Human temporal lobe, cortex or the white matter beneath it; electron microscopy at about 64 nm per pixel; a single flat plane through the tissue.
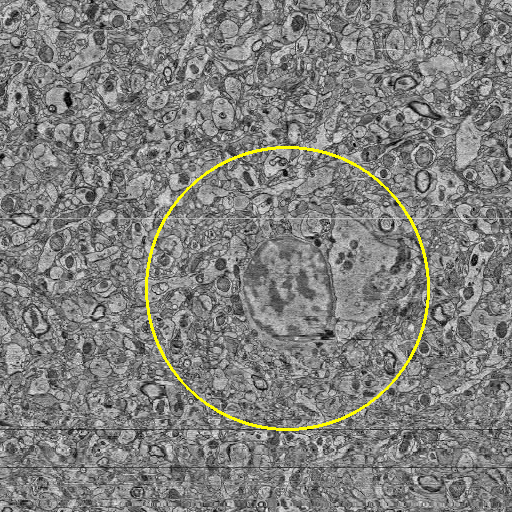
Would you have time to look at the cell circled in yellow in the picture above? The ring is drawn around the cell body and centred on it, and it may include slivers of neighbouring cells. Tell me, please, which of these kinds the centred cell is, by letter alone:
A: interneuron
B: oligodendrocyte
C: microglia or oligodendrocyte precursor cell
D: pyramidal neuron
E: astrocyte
B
